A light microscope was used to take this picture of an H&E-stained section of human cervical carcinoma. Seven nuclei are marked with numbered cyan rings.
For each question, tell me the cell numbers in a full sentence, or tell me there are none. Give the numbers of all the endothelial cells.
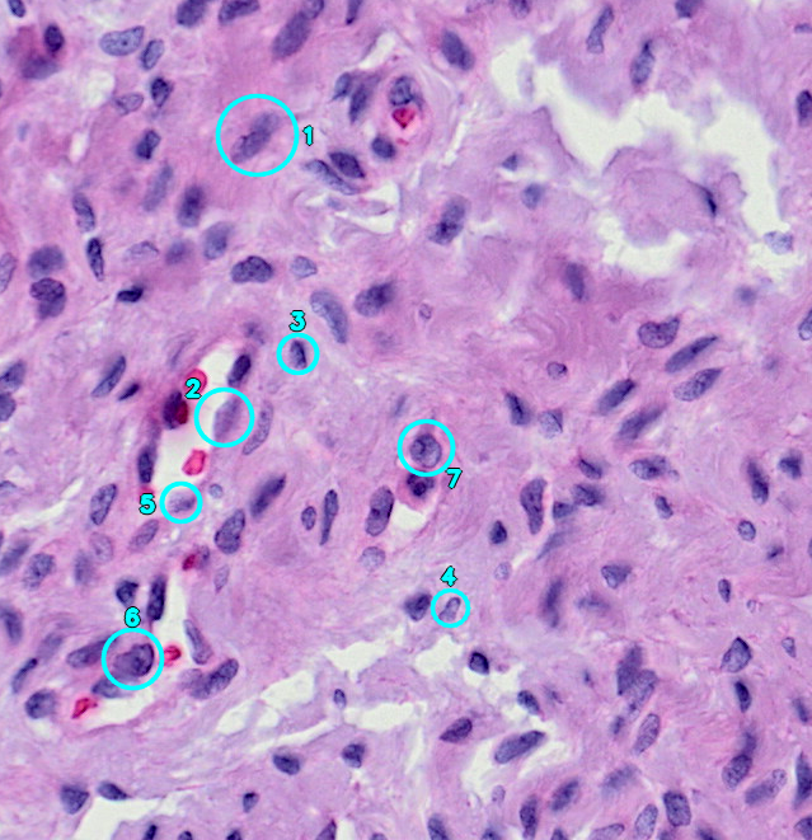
As for the cells numbered 2, 5, 6 and 7, they are endothelial cells.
